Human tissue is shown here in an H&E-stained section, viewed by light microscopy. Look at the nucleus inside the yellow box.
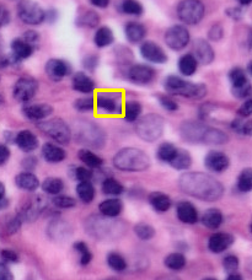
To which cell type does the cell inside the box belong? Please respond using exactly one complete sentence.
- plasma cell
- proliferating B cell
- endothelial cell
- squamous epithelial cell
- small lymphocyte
Speaking plainly, the cell inside the box is nothing other than an endothelial cell.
